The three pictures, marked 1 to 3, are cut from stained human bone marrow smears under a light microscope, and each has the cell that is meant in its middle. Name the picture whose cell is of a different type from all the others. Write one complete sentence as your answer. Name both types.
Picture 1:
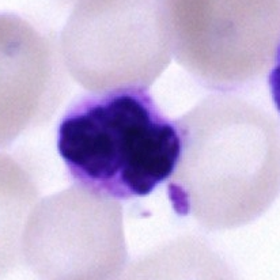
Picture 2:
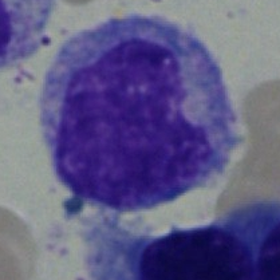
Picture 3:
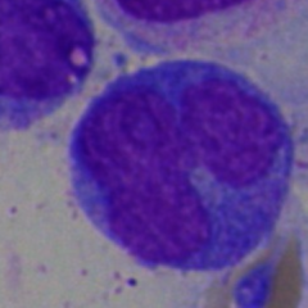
All pictures except 1 show monocytes; picture 1 shows a segmented neutrophil.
